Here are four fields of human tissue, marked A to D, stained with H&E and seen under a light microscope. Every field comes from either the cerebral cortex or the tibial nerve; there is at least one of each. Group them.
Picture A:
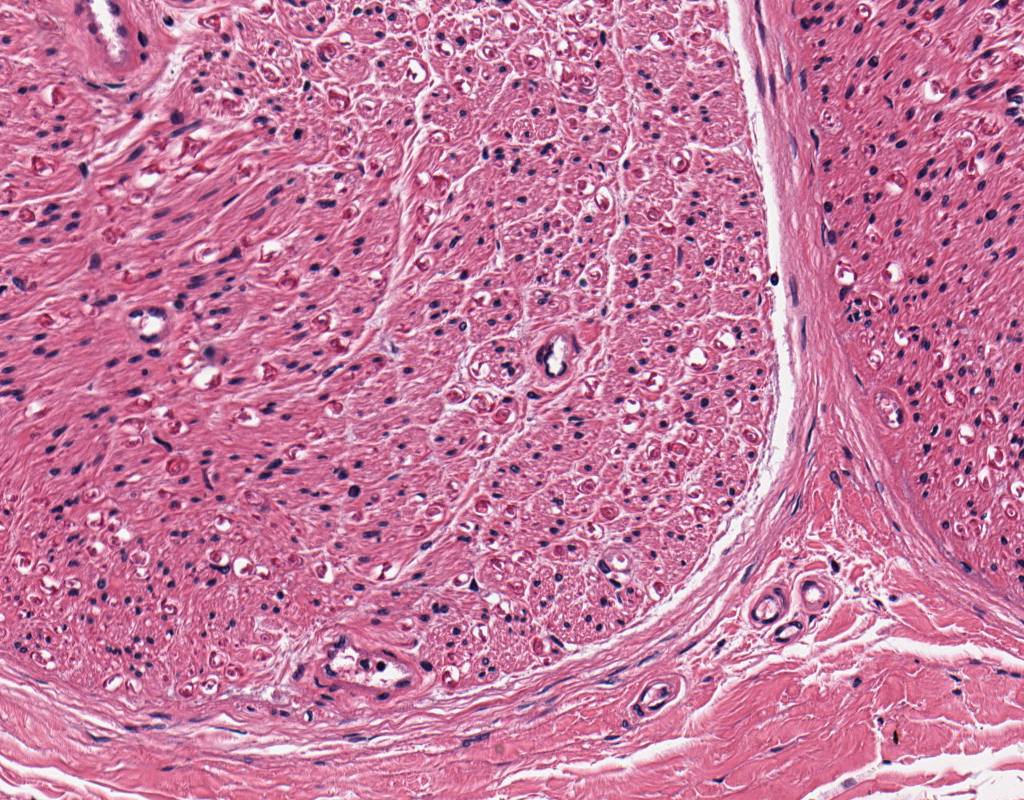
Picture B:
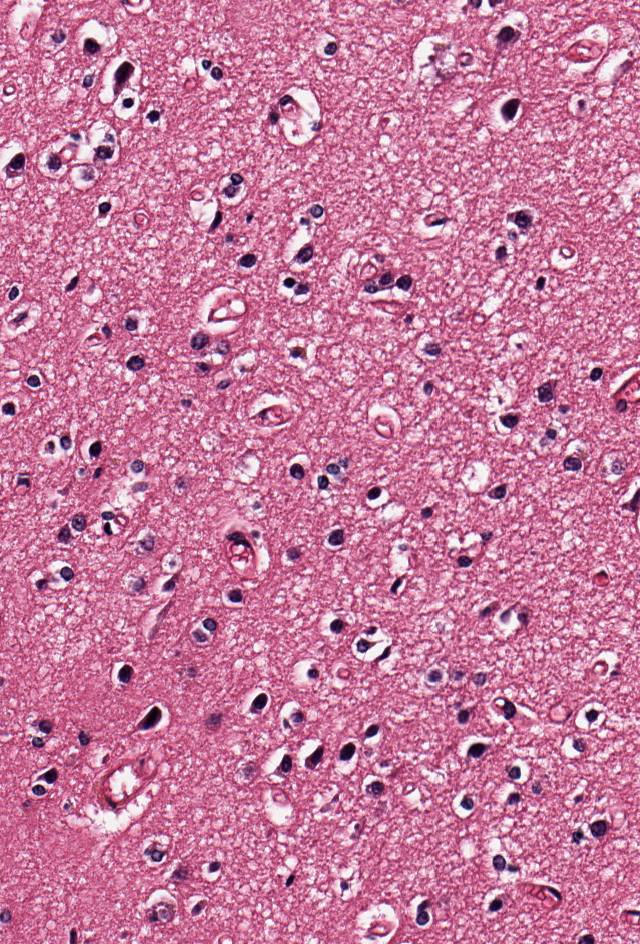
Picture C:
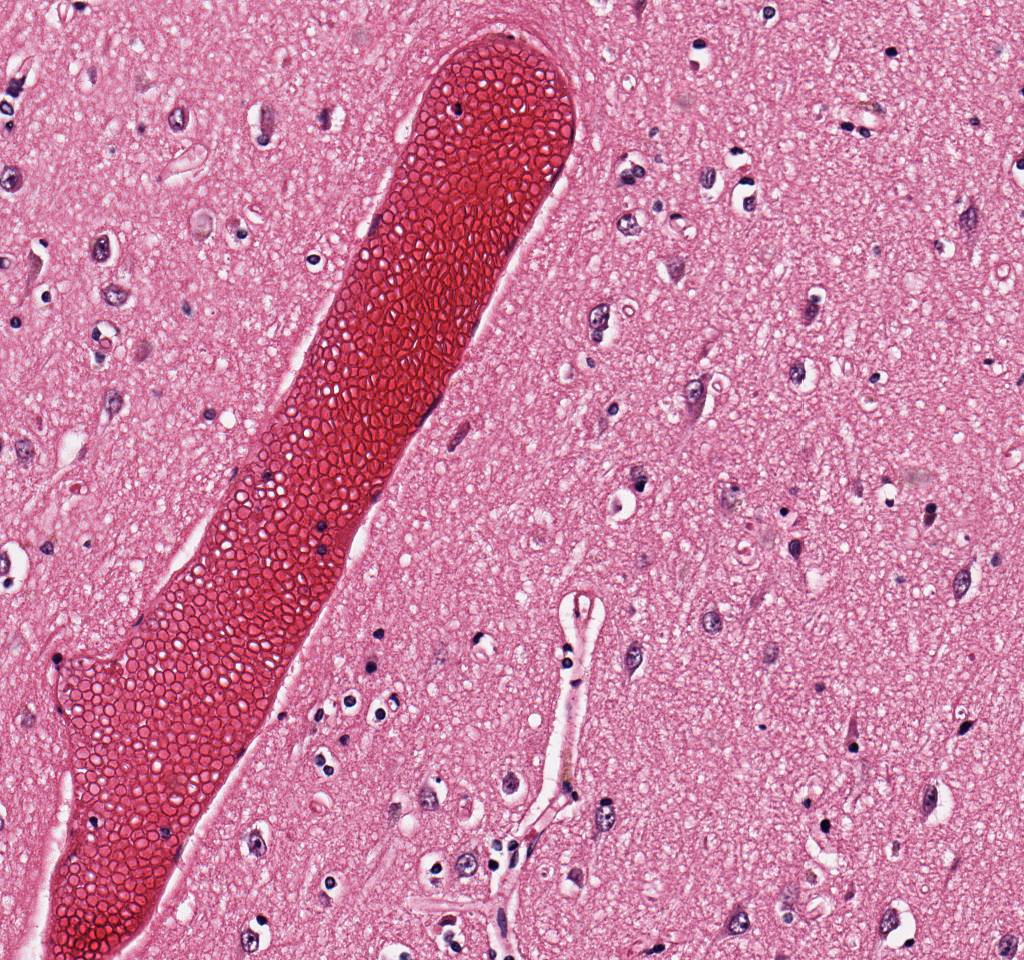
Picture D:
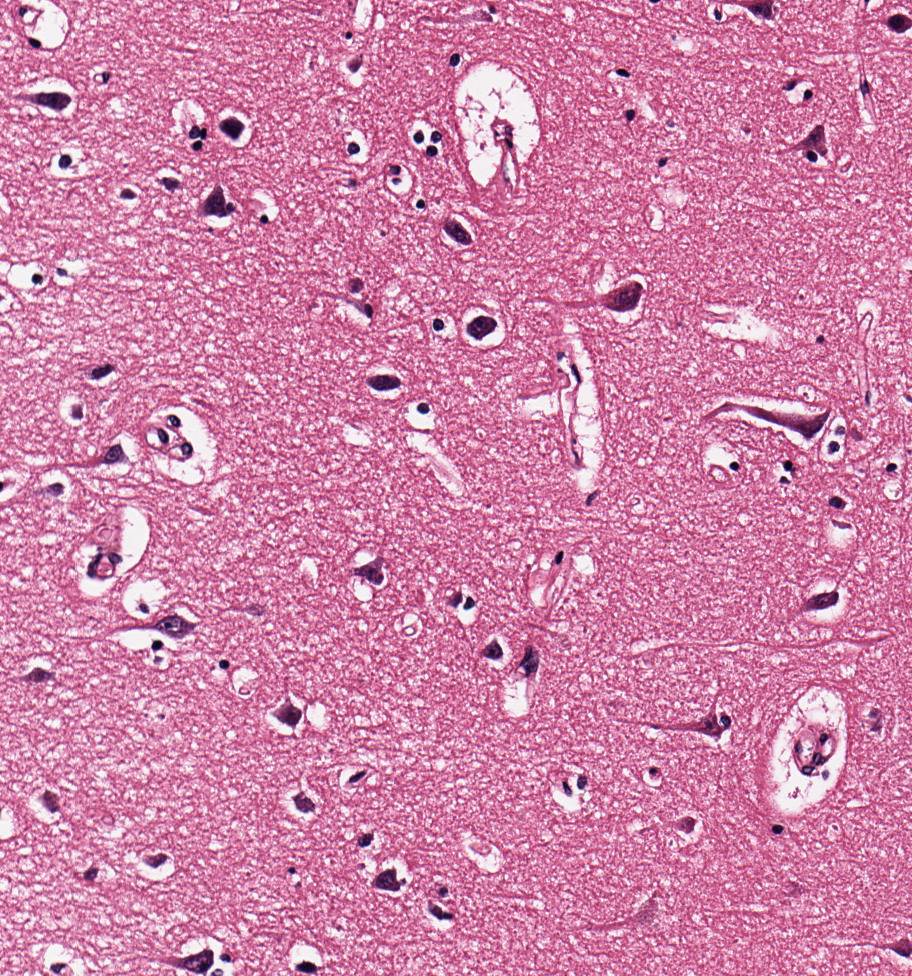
A: tibial nerve
B: cerebral cortex
C: cerebral cortex
D: cerebral cortex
